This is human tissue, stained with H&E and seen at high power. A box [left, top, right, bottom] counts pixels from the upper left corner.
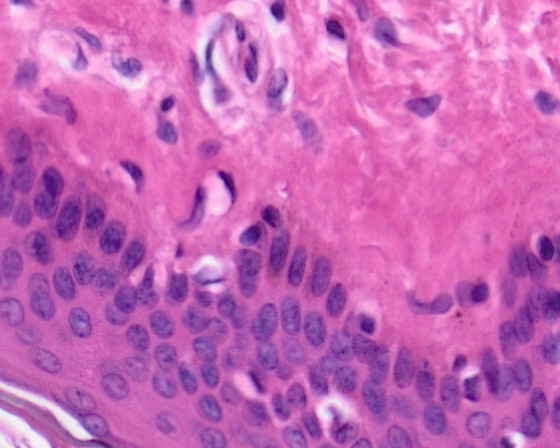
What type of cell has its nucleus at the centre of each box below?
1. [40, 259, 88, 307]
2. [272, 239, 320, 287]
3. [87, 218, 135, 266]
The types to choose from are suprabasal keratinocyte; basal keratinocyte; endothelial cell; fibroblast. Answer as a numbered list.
1. suprabasal keratinocyte
2. basal keratinocyte
3. basal keratinocyte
